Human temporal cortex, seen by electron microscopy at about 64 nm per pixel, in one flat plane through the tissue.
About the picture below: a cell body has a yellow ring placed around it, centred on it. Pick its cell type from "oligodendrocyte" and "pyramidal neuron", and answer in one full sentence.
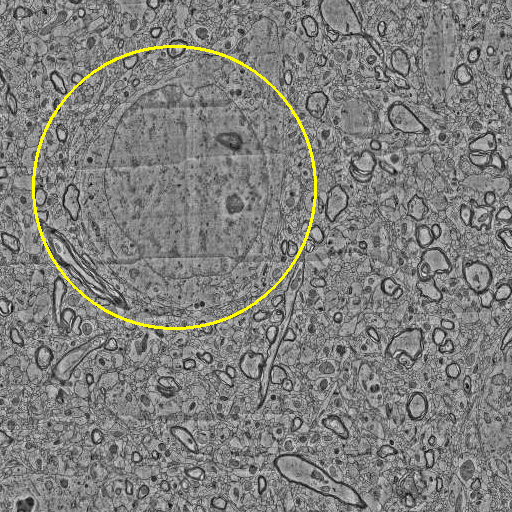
In the picture, a pyramidal neuron is the cell sitting at the centre of the yellow ring.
